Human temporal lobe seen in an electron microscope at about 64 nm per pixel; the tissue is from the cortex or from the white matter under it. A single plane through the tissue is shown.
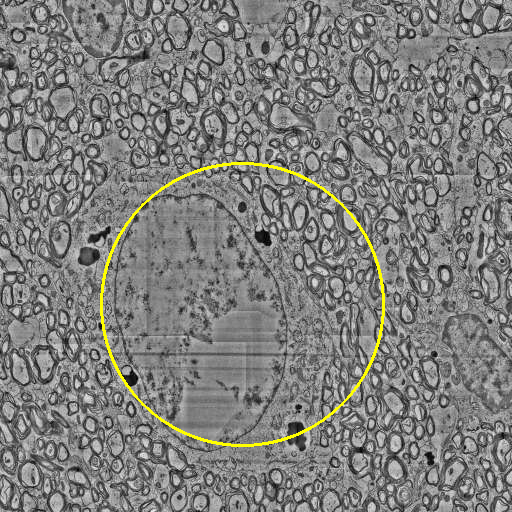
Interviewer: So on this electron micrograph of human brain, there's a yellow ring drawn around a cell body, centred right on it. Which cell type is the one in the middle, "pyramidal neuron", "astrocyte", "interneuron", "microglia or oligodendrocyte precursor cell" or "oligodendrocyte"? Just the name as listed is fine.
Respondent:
pyramidal neuron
